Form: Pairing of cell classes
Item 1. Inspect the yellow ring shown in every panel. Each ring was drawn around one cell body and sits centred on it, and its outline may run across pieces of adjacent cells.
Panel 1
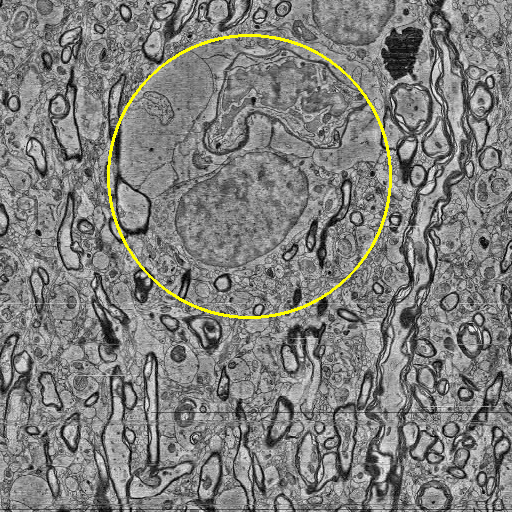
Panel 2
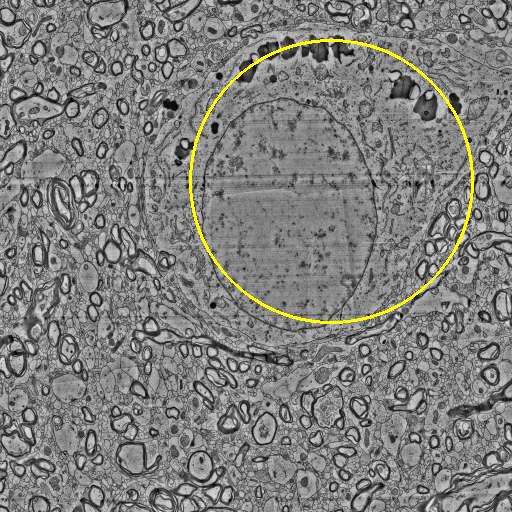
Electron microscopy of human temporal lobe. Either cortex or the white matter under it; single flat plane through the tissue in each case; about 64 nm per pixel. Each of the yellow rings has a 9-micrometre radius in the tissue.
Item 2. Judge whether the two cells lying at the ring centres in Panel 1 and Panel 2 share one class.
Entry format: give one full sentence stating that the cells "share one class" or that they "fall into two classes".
The cells at the ring centres in Panel 1 and Panel 2 fall into two classes.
